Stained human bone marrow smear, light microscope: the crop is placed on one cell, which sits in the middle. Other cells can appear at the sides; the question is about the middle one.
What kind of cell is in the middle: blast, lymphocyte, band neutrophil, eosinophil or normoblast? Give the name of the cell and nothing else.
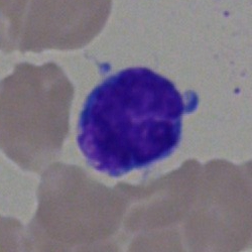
lymphocyte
